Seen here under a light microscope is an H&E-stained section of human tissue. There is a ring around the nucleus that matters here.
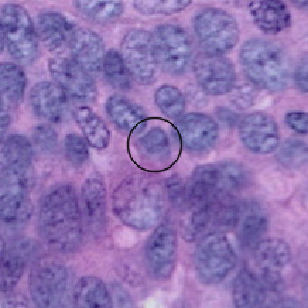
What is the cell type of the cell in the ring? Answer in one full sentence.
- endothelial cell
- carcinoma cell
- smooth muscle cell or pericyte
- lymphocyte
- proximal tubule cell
The correct response here is that the cell in the ring is a carcinoma cell.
